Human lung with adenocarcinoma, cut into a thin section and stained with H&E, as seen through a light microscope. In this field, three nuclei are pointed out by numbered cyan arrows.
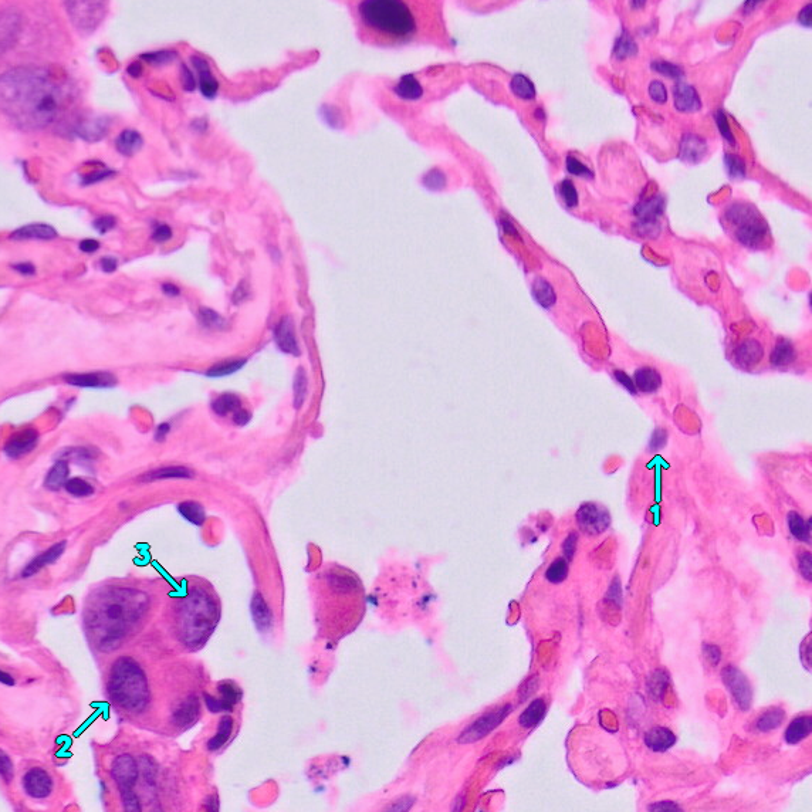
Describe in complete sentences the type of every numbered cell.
Cell 1 is a type I pneumocyte, cell 2 is a carcinoma cell and cell 3 is a carcinoma cell.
